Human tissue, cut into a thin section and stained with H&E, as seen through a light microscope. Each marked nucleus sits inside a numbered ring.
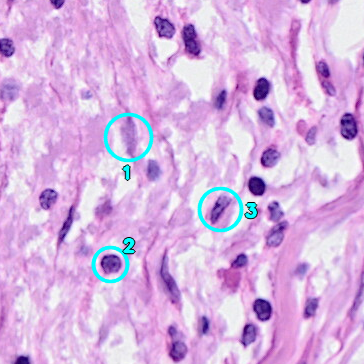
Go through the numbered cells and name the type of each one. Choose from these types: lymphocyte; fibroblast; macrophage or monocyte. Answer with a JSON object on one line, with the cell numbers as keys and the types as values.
{"1": "fibroblast", "2": "lymphocyte", "3": "macrophage or monocyte"}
